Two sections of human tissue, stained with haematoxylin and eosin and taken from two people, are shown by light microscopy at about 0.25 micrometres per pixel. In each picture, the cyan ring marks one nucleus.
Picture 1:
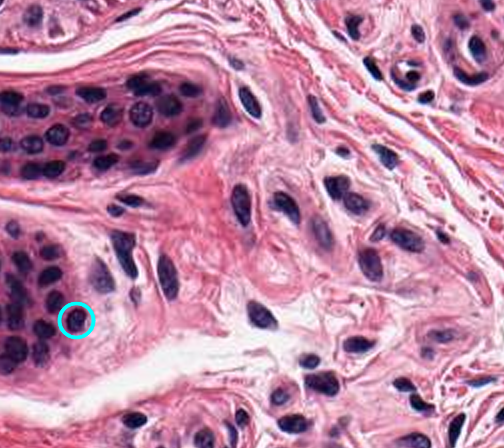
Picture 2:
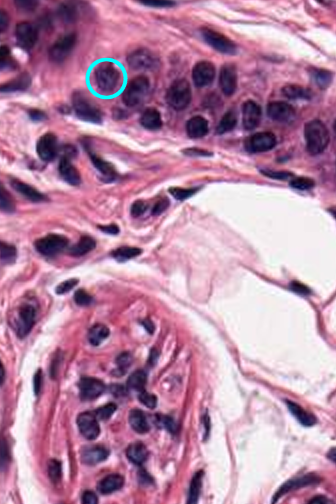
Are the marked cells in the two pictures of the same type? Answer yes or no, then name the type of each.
Yes, both are sweat gland cells.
